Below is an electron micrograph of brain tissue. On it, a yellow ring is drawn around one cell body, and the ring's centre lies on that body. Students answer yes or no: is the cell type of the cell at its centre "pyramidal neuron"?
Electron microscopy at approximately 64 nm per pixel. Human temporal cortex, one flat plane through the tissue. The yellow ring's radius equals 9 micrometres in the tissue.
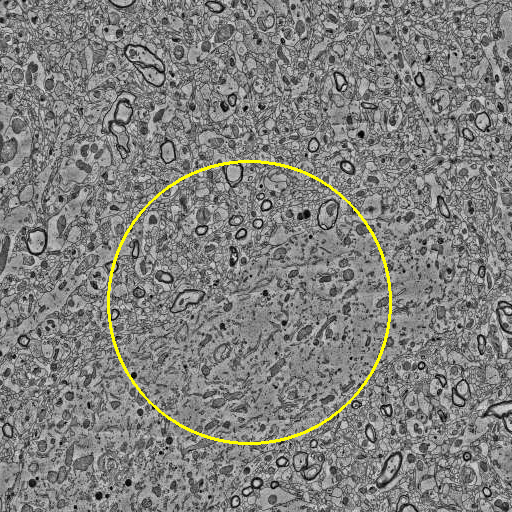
yes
